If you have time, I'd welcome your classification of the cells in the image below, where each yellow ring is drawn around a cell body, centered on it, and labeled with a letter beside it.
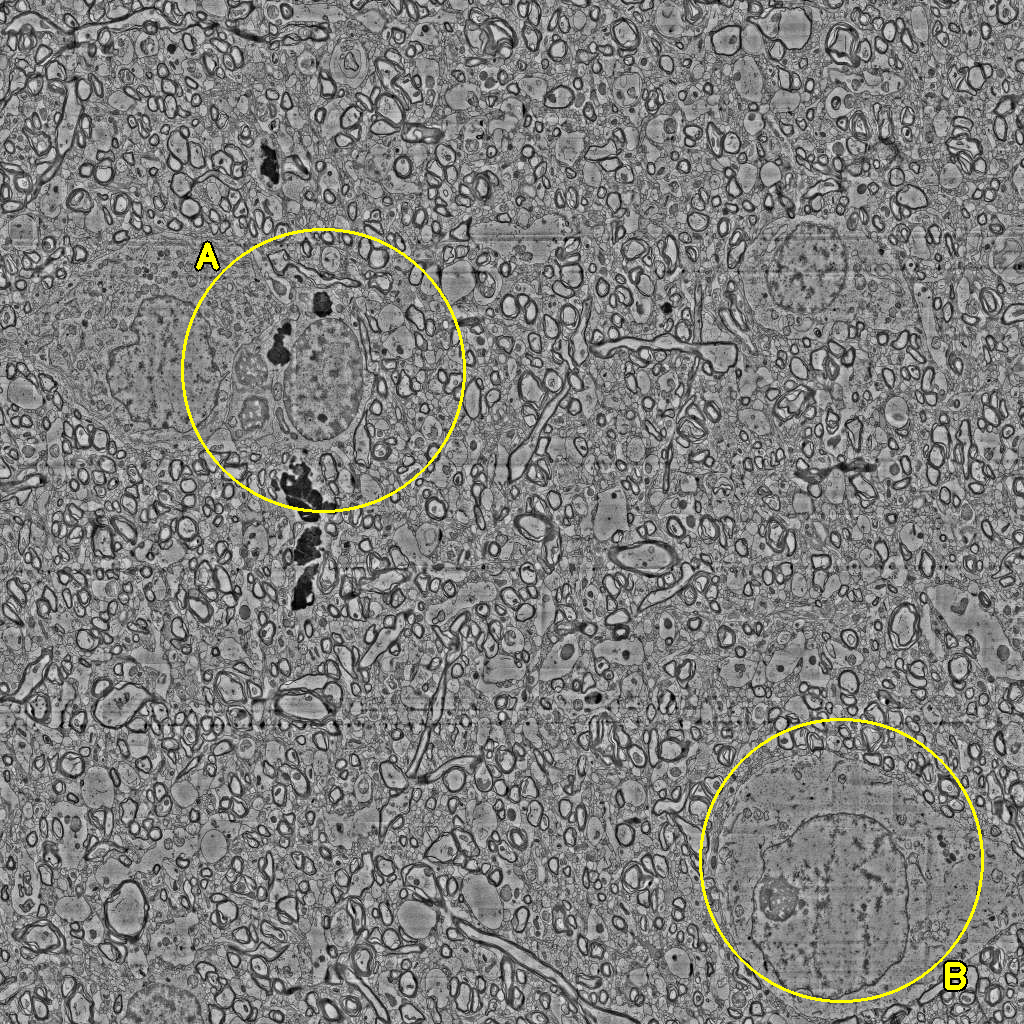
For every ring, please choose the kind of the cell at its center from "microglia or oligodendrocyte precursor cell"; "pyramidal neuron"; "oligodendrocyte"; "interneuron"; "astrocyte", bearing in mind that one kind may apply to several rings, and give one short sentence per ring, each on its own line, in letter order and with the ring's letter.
At the center of ring A is an oligodendrocyte.
At the center of ring B is a pyramidal neuron.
